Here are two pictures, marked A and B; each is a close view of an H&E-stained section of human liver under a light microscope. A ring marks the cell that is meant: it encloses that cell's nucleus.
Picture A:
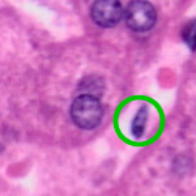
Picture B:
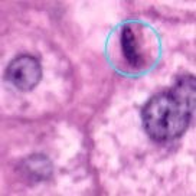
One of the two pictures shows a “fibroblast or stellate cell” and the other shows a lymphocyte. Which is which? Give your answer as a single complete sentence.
Picture A is of a lymphocyte, and picture B is of a “fibroblast or stellate cell”.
